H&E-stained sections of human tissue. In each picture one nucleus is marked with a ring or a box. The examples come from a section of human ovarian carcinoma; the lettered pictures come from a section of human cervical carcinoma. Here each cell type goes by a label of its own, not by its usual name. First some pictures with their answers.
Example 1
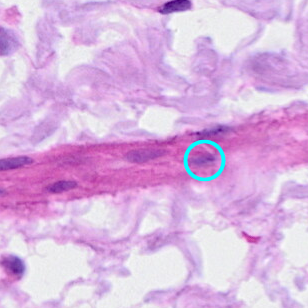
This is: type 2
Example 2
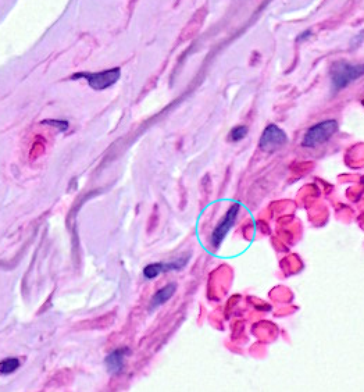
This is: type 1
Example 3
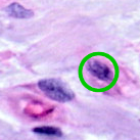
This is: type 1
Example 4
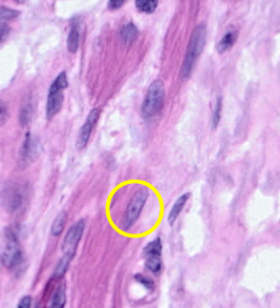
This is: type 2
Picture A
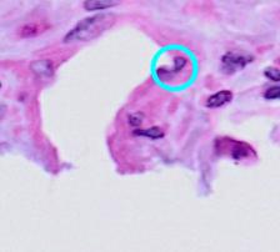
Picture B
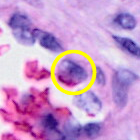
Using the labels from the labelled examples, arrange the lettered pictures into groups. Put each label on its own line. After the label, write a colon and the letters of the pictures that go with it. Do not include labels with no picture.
type 1: A, B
